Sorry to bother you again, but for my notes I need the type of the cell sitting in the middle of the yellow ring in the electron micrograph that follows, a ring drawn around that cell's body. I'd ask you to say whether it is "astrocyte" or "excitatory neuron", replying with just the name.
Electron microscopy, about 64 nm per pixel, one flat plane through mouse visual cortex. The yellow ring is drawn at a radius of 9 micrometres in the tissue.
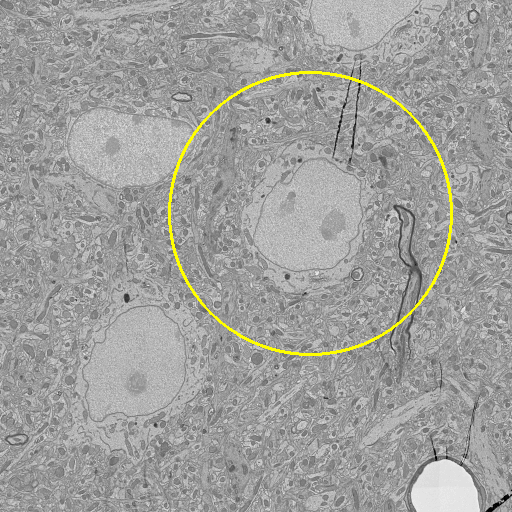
excitatory neuron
